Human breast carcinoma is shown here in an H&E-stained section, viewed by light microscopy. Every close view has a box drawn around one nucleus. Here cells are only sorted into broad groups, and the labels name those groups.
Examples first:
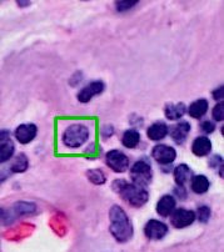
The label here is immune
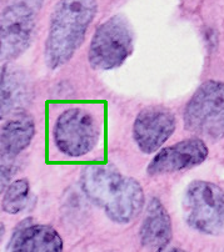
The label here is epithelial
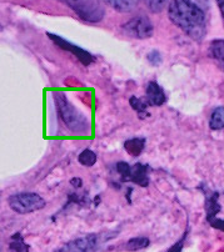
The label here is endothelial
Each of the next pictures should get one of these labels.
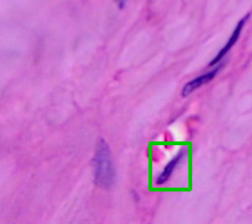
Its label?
endothelial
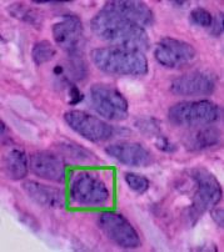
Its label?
epithelial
